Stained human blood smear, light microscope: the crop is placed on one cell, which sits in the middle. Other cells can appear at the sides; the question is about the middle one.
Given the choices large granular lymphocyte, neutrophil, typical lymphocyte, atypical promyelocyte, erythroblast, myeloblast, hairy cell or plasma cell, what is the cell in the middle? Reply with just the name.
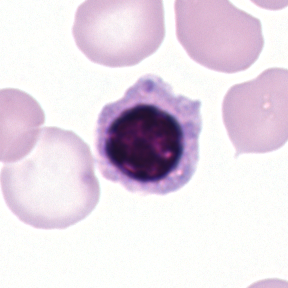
erythroblast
